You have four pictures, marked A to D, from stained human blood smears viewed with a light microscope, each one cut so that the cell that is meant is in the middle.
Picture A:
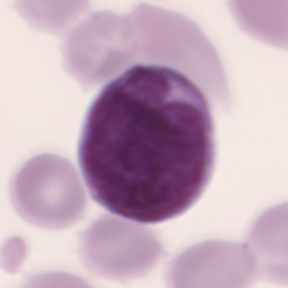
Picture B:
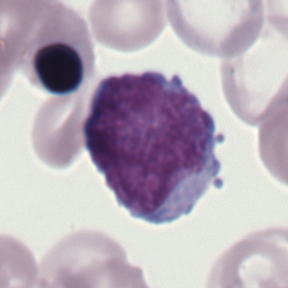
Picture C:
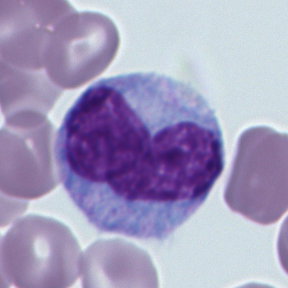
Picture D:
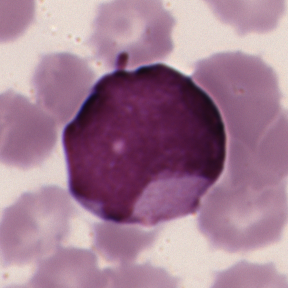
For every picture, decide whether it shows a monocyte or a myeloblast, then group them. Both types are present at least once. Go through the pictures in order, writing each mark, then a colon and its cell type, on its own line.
A: myeloblast
B: myeloblast
C: monocyte
D: myeloblast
